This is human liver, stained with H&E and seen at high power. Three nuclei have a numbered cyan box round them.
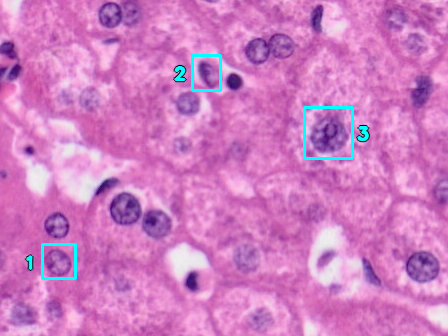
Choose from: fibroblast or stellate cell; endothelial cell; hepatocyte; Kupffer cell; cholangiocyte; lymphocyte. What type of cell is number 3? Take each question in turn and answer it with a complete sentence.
The cell indicated by marker 3 is a hepatocyte in this section.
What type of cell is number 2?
In this section, the cell tagged 2 is a Kupffer cell.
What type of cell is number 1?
In the marked set, the cell given number 1 is a hepatocyte.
